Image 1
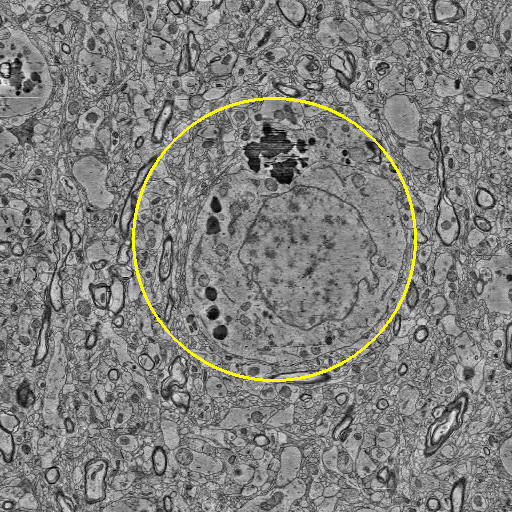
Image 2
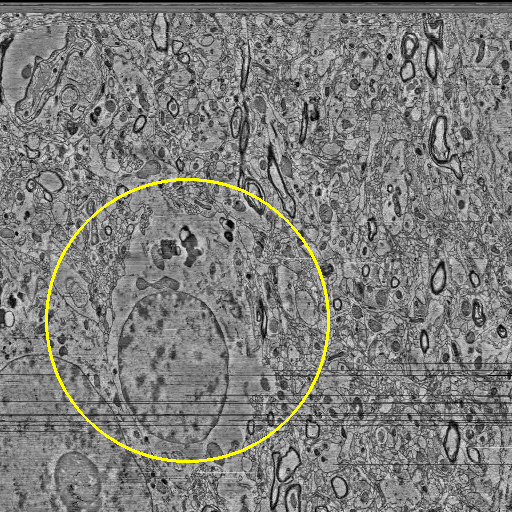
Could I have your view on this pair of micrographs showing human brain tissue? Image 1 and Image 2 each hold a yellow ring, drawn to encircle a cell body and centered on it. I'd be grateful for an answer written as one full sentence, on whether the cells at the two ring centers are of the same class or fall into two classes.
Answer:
The cells at the centers of the two rings fall into two classes.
